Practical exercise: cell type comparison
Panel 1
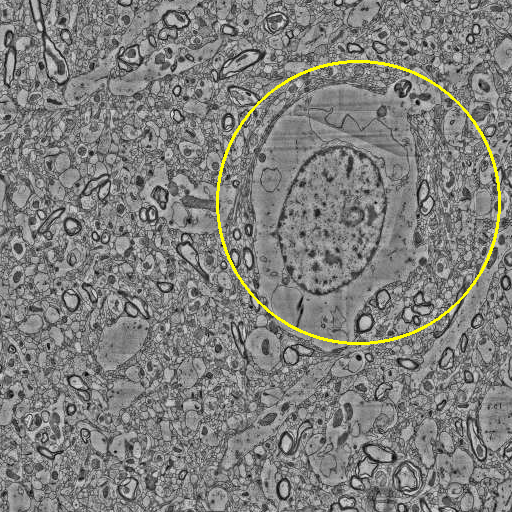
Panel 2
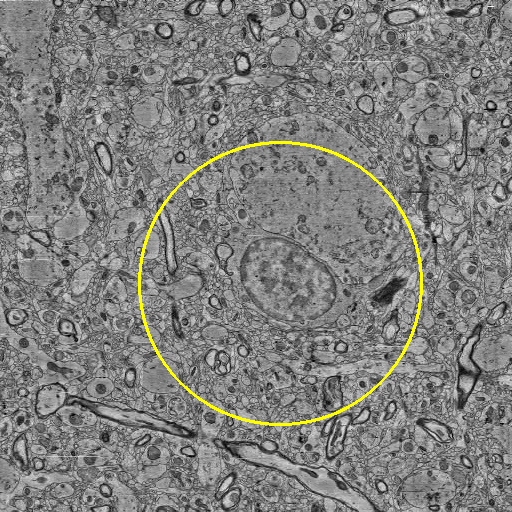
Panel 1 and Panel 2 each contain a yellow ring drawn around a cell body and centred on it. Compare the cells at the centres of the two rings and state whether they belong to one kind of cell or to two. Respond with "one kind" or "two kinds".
two kinds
